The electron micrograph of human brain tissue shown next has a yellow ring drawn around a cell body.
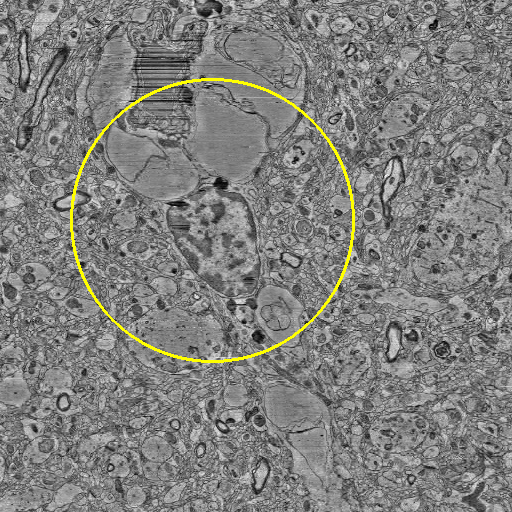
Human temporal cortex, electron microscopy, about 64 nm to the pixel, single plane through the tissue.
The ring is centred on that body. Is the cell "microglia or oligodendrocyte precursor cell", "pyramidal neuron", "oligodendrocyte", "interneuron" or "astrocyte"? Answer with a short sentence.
The cell in question is a microglial cell or oligodendrocyte precursor cell.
